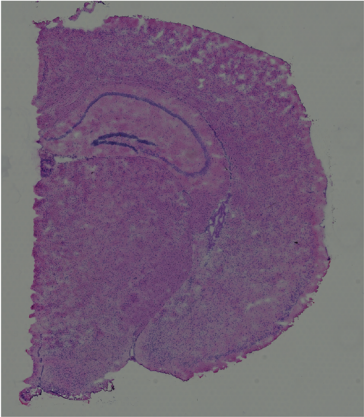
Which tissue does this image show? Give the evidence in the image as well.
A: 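A dark, thin, C-shaped band of densely packed cells lies in a curved layered structure near the top. Purple-pink stained tissue with no glands, lumens or epithelial surfaces.
Hence: brain.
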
